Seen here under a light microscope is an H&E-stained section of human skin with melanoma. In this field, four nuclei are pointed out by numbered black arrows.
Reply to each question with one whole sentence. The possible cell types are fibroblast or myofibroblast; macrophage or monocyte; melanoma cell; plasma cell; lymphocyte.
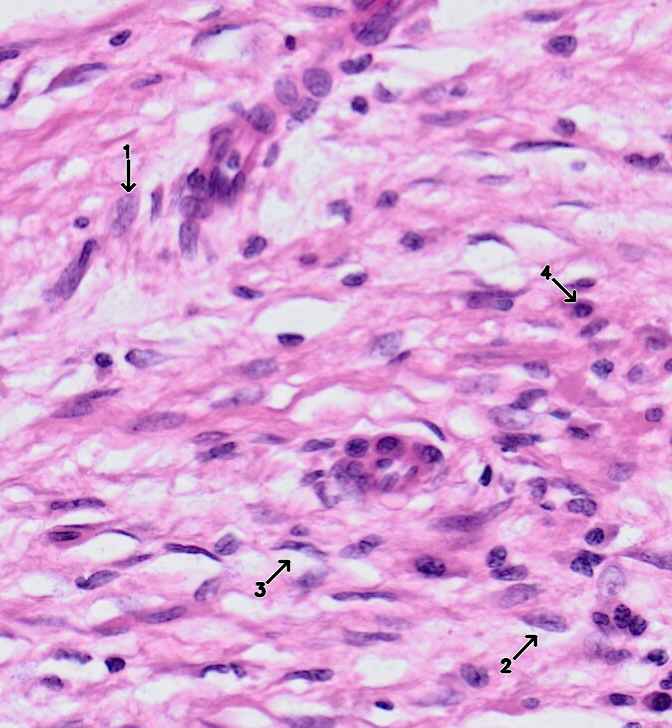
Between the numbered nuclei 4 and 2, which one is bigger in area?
It is nucleus 2, which covers about 2 times the area of nucleus 4.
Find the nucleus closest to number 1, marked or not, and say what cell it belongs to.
The nearest nucleus to number 1 belongs to a fibroblast or myofibroblast.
